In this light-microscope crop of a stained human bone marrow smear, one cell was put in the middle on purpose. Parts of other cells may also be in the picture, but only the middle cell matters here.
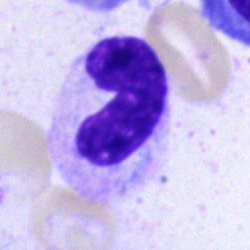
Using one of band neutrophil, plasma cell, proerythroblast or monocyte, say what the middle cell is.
band neutrophil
